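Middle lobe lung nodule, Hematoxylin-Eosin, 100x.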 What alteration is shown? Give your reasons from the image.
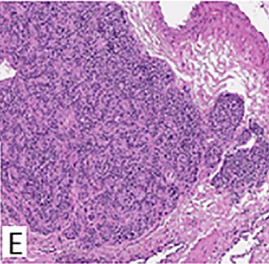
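Densely cellular sheets and nests of tumour cells. Nests are separated by thin fibrovascular septa. Pink fibrous tissue borders the tumour at the upper right. So: epithelial neoplasm growing in an organoid fashion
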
